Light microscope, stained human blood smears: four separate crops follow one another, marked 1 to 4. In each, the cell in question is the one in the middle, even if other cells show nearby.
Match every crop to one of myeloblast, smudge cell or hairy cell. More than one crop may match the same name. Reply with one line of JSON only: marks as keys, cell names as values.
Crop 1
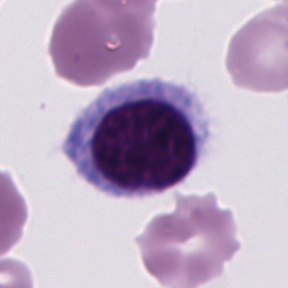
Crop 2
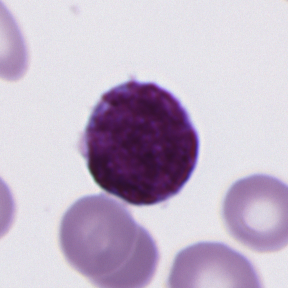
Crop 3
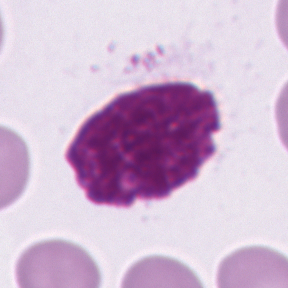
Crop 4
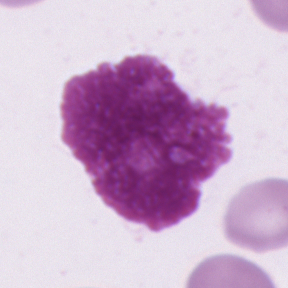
{"1": "hairy cell", "2": "myeloblast", "3": "smudge cell", "4": "smudge cell"}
